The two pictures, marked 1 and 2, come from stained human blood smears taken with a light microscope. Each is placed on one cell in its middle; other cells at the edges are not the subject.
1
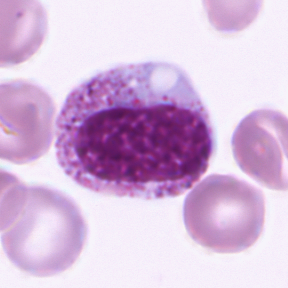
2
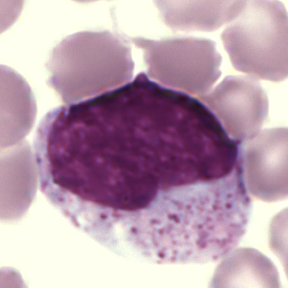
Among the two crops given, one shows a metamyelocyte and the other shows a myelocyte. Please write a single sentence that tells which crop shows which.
Crop 1 is a metamyelocyte, and crop 2 is a myelocyte.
